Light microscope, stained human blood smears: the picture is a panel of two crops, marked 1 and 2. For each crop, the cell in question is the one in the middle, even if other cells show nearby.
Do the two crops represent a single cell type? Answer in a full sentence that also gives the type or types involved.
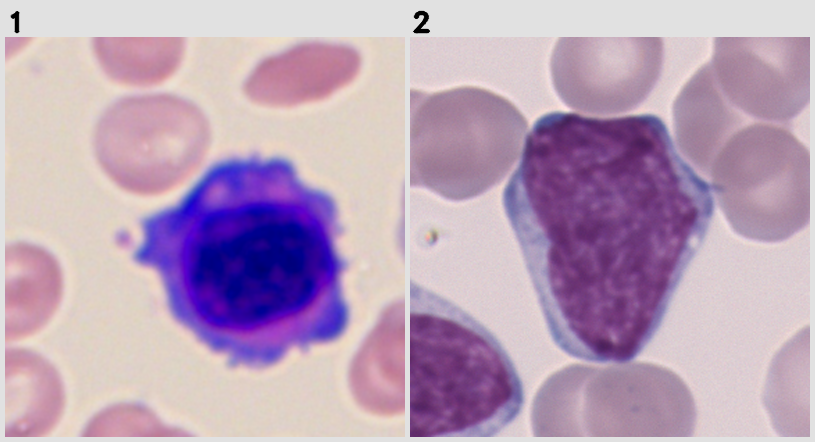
Yes, the cells at the centre of the two crops are both blasts.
